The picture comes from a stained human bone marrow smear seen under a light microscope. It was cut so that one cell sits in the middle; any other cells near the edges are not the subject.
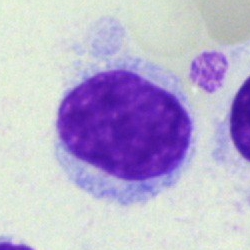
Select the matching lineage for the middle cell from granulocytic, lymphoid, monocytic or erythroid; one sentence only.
The cell sitting in the middle of this crop is of the lymphoid line.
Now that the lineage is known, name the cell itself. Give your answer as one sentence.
The middle cell in this particular crop is a hairy cell.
